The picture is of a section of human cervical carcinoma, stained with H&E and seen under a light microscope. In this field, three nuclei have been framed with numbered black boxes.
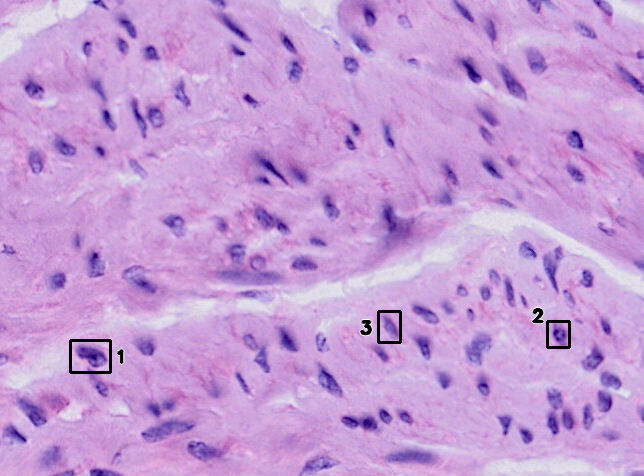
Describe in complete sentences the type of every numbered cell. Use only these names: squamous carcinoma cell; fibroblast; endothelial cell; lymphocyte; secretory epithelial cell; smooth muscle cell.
Cell 1 is a lymphocyte, cell 2 is a smooth muscle cell and cell 3 is a smooth muscle cell.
